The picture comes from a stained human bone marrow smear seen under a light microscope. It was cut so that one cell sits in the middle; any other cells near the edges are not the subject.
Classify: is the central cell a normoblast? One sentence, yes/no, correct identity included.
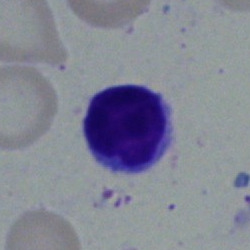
No, the cell at the centre of the crop is a lymphocyte and not a normoblast.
